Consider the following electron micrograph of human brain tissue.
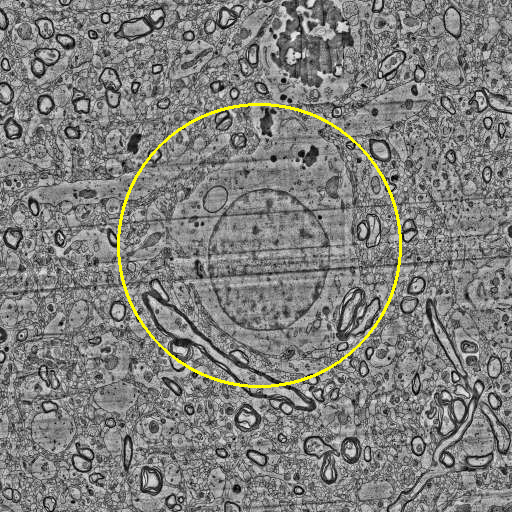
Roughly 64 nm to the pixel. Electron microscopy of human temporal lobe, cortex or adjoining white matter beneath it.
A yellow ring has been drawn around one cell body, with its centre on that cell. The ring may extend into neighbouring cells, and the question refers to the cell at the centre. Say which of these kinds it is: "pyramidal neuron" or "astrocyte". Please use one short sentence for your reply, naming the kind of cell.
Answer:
The centre of the ring falls on an astrocyte.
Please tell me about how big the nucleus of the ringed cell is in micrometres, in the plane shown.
In this plane the nucleus is about 9 micrometres by 8.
